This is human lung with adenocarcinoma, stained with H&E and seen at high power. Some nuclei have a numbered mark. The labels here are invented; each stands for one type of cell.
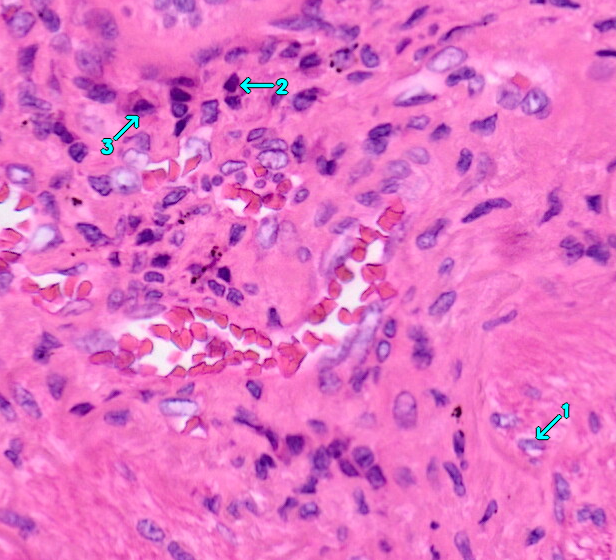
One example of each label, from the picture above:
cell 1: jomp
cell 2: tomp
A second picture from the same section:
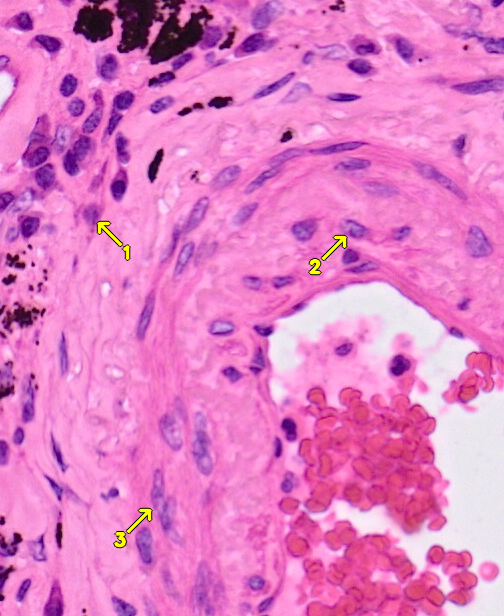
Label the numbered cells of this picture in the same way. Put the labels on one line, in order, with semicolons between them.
tomp; jomp; jomp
